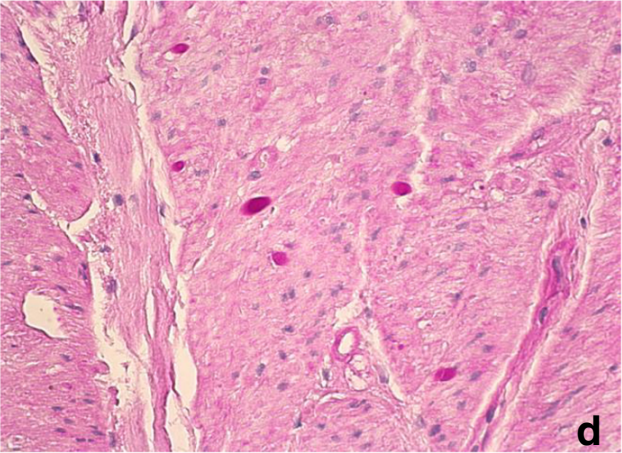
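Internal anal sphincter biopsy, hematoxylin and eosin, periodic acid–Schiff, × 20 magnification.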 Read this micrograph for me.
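The nuclei are oval and pale blue-grey, scattered singly among the fibres. Within the muscle cells lie scattered round to oval inclusions that stain a deep magenta, clearly darker than the surrounding pink tissue. Some pale, cleared areas around the cells suggest vacuolation of the muscle.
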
